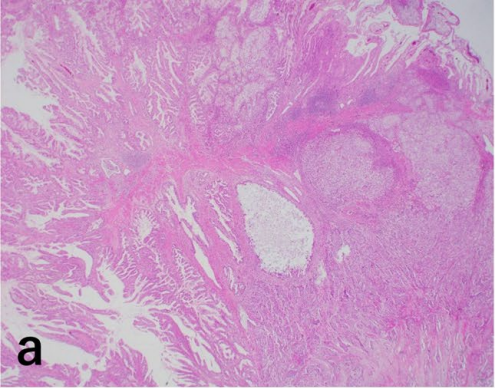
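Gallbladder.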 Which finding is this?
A: Papillotubular growth.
